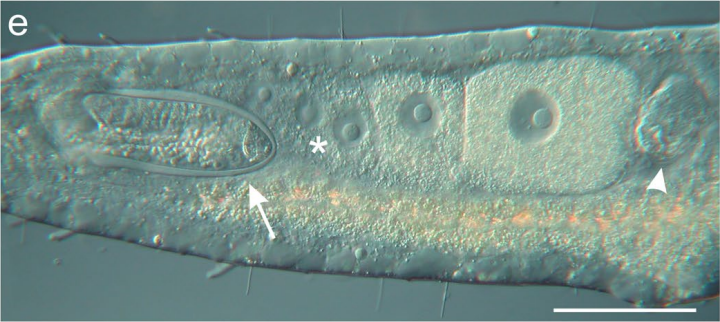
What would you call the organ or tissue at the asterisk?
Ovary.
